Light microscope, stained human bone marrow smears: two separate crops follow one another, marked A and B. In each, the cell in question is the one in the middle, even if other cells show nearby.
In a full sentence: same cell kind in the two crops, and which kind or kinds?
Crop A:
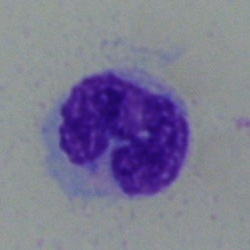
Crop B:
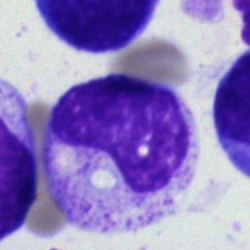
No, crop A is of a monocyte, and crop B is of a metamyelocyte.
